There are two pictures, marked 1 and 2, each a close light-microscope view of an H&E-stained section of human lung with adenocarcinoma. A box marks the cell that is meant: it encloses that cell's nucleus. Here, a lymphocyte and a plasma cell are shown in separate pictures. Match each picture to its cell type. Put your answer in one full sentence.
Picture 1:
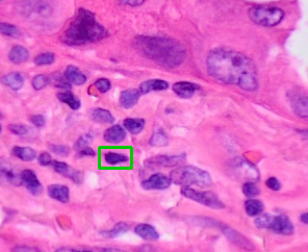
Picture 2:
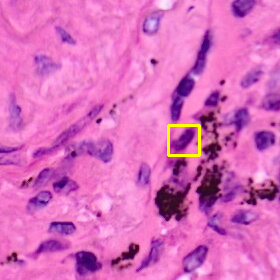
Picture 1 shows a lymphocyte and picture 2 shows a plasma cell.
